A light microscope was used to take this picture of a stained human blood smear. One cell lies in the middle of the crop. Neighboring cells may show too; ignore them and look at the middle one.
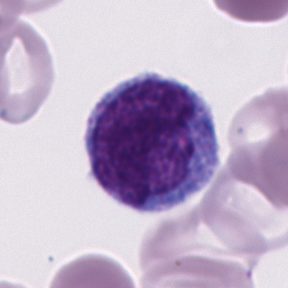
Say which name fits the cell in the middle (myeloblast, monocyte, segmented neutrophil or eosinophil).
monocyte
